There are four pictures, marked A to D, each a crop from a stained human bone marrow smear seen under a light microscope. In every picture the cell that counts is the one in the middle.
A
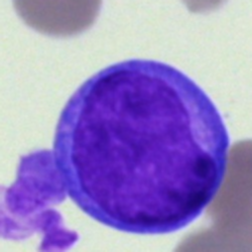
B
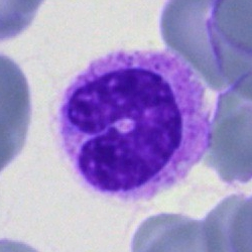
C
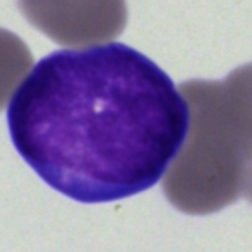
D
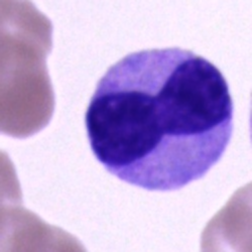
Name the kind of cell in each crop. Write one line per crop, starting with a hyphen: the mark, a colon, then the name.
- A: blast
- B: band neutrophil
- C: blast
- D: band neutrophil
